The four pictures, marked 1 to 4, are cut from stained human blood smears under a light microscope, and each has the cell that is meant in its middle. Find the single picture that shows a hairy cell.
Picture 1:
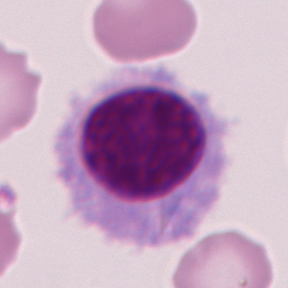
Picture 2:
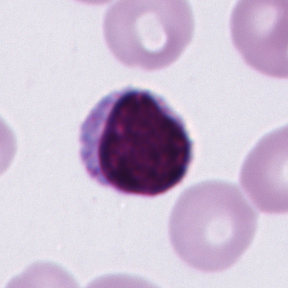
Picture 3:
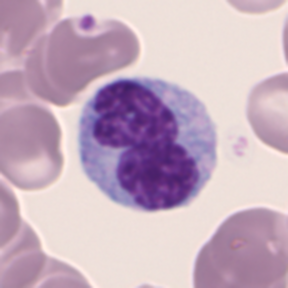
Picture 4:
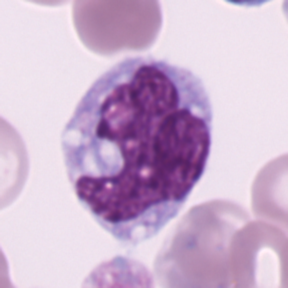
1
